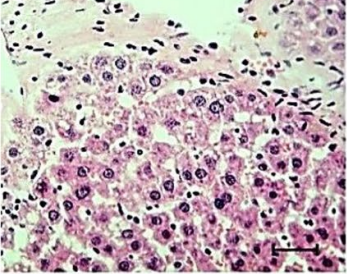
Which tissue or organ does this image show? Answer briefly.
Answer: liver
